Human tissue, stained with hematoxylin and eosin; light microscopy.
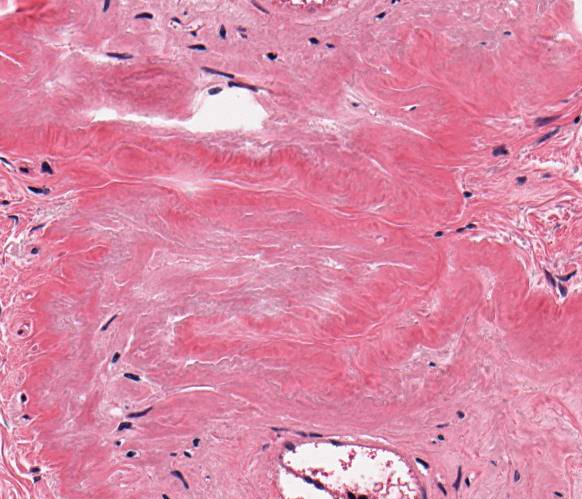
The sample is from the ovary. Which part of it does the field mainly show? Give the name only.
corpus albicans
